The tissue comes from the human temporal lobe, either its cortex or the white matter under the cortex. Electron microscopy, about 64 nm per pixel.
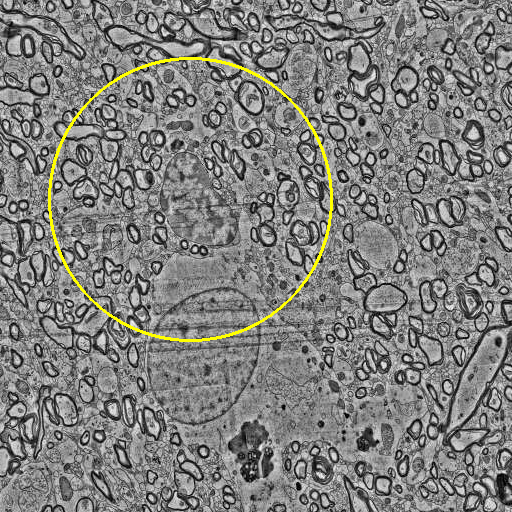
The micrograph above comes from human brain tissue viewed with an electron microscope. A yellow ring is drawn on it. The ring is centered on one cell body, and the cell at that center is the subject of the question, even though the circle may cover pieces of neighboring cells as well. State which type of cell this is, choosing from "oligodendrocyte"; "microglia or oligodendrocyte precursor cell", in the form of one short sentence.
The cell the ring is centered on is a microglial cell or oligodendrocyte precursor cell.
